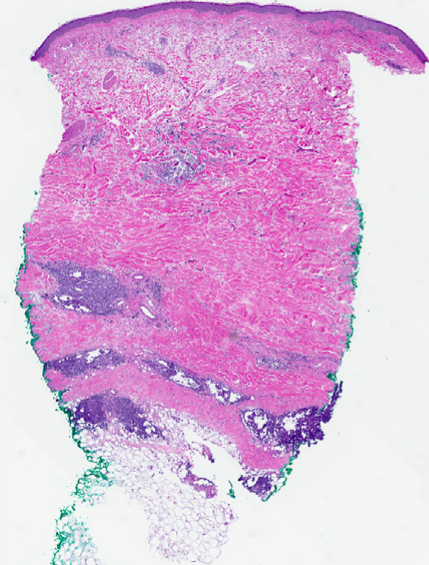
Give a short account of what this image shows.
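This is a full-thickness skin biopsy at scanning magnification, with epidermis, dermis and subcutaneous fat. A thin purple epidermis covers the top. Below it the dermis is broad and filled with compact, brightly pink collagen that extends deeply, leaving the specimen with a squared, rectangular outline. Scattered within the dermis, and most numerous in its deep part and at the border with the fat, are dense dark purple nodules of lymphoid cells. At the bottom lies pale, lacy subcutaneous fat with clear fat cells. Green ink marks the lateral and deep edges of the specimen.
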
